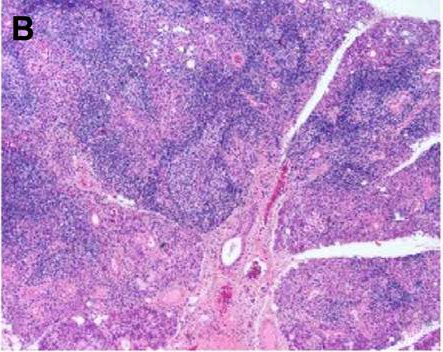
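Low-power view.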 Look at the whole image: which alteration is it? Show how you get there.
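Pale pink fibrous bands run between the cellular compartments. Vessels lie within the pink bands.
Conclusion: lobules separated by fibrotic tissue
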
